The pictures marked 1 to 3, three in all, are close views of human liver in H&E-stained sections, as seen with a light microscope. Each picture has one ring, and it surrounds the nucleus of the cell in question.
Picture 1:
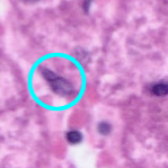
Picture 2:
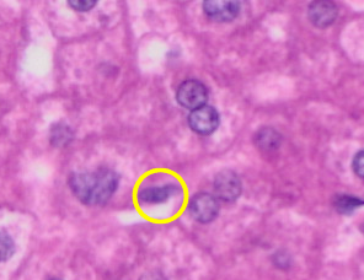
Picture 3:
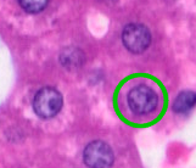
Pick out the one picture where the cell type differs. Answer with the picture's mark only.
3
